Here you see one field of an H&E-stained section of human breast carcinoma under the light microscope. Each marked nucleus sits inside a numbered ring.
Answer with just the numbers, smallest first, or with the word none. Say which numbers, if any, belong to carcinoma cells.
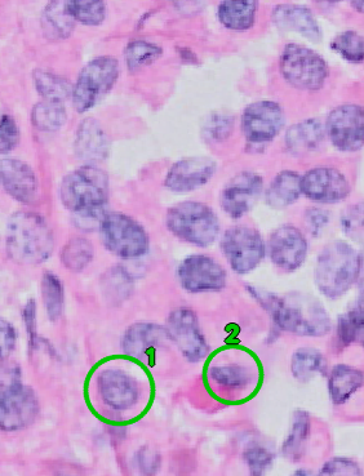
1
